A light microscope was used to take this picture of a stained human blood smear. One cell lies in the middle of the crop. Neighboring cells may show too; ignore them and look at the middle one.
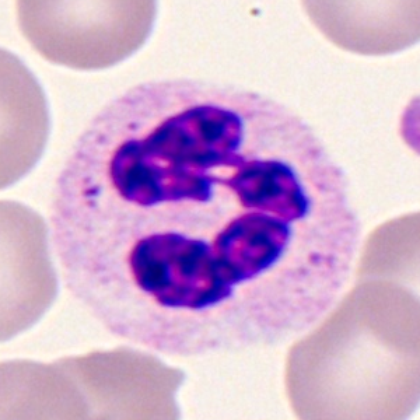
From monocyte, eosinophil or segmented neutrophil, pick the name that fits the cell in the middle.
segmented neutrophil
